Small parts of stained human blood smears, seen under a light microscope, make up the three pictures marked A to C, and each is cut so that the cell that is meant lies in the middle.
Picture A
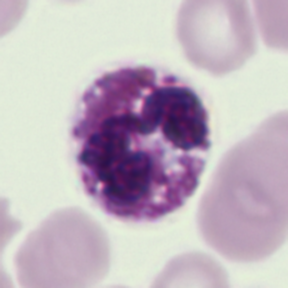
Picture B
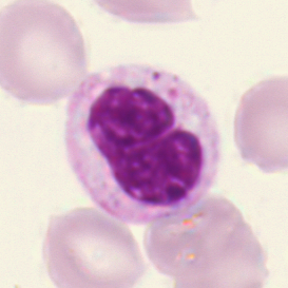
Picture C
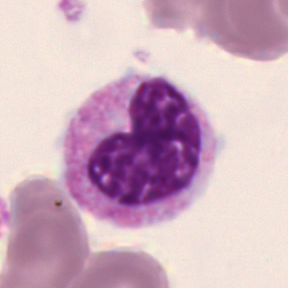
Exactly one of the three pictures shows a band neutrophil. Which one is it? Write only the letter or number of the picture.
B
